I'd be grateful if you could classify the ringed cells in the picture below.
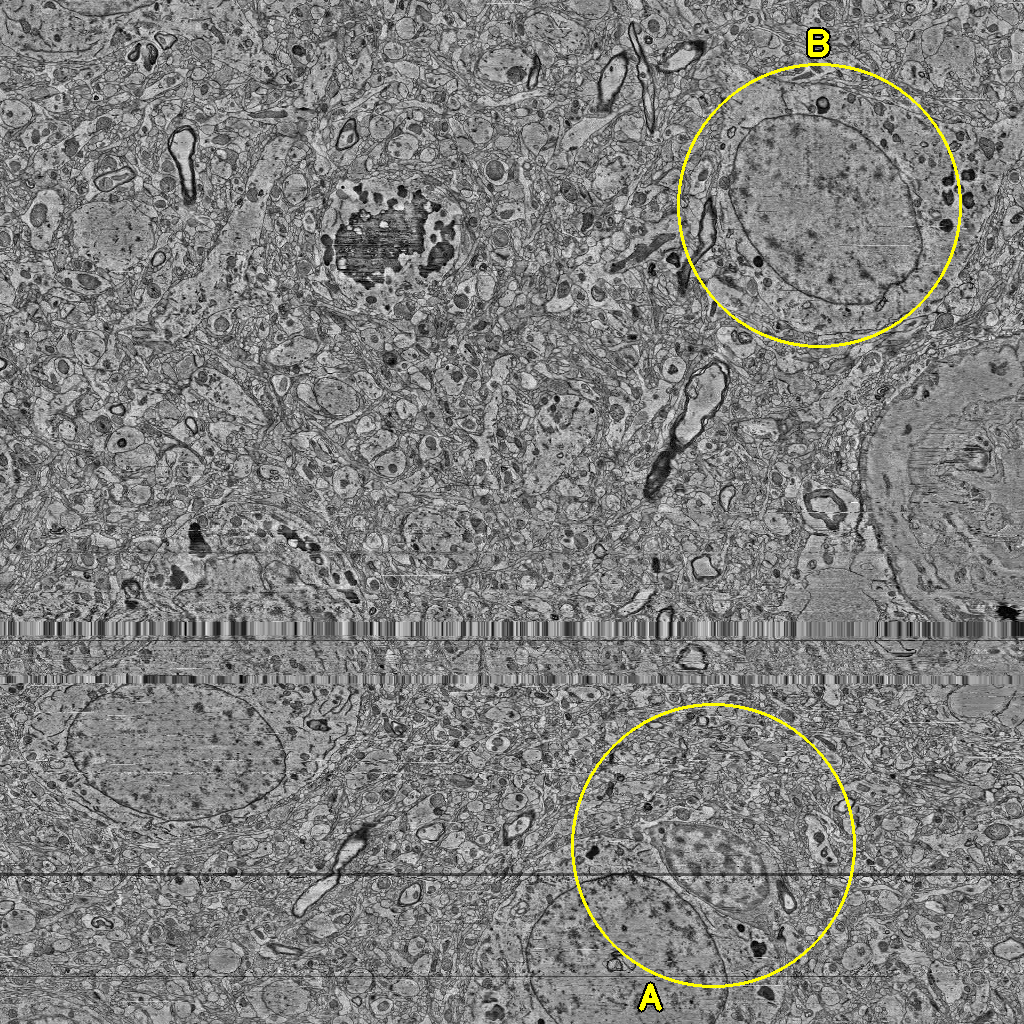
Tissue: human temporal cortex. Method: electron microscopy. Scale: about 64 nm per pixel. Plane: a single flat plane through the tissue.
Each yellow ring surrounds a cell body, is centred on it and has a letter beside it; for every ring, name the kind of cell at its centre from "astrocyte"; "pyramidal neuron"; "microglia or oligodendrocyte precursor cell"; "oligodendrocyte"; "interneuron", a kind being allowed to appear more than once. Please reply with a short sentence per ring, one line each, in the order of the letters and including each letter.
In ring A we have an oligodendrocyte.
In ring B we have a pyramidal neuron.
